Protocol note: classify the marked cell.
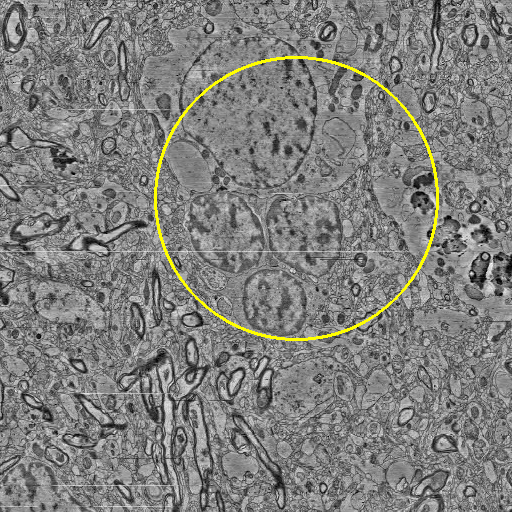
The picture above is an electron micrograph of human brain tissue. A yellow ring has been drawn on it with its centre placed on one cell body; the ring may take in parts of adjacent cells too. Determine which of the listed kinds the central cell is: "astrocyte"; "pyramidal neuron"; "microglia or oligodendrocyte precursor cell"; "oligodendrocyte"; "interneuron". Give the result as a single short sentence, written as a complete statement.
The central cell is an oligodendrocyte.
